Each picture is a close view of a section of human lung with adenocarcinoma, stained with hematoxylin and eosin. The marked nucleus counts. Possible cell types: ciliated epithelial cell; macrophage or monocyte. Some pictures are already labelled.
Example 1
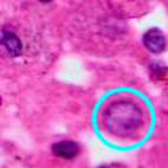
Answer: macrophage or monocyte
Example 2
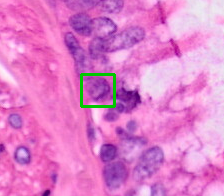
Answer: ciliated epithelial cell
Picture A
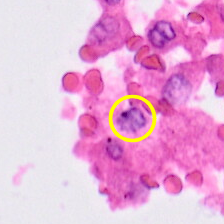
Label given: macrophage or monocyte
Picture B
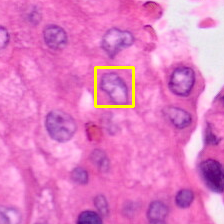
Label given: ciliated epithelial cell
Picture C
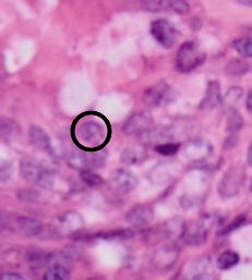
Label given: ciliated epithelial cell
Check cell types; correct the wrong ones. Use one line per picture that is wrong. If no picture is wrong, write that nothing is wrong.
B: not ciliated epithelial cell but macrophage or monocyte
